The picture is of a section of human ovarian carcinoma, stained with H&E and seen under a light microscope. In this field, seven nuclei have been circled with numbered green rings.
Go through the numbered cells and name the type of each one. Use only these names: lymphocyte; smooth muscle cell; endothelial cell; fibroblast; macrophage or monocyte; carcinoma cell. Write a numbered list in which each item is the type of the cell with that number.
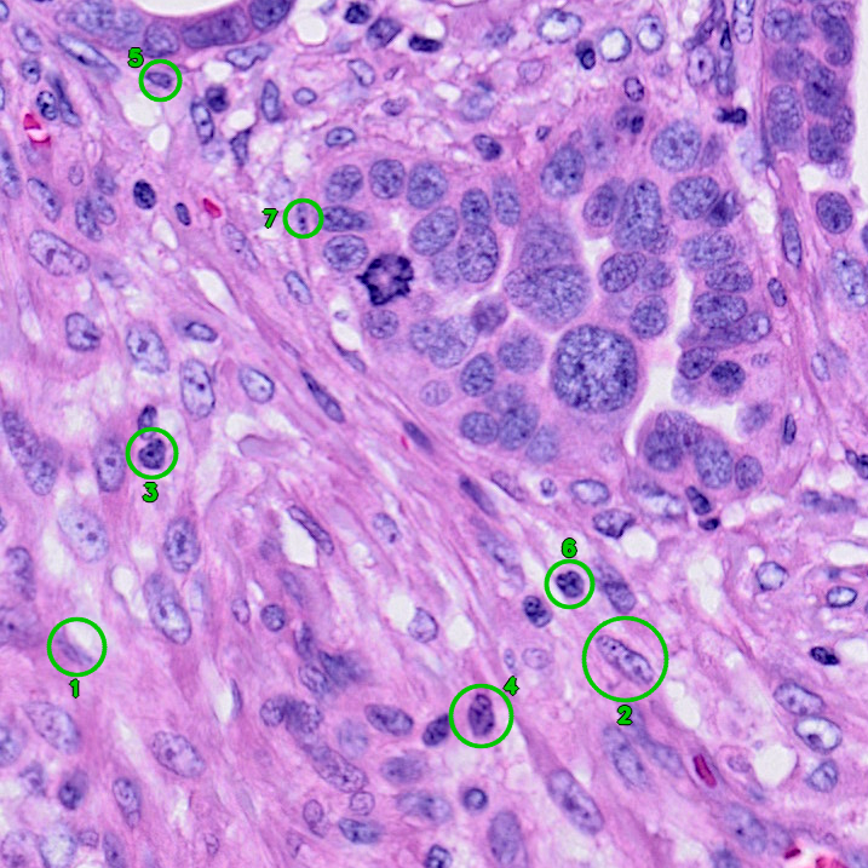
1. fibroblast
2. fibroblast
3. lymphocyte
4. macrophage or monocyte
5. macrophage or monocyte
6. lymphocyte
7. fibroblast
